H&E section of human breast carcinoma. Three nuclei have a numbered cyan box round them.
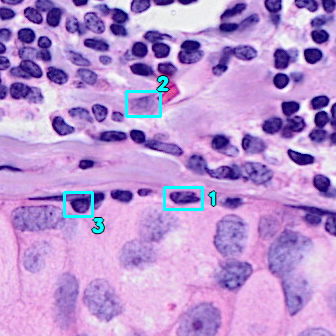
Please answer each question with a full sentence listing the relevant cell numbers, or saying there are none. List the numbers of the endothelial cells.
Among the numbered cells, cell 2 alone is an endothelial cell.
